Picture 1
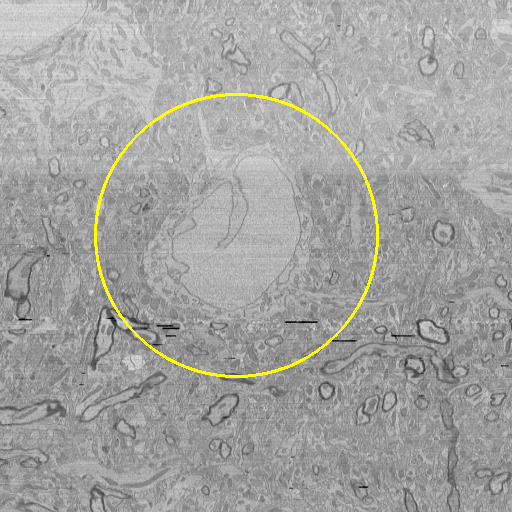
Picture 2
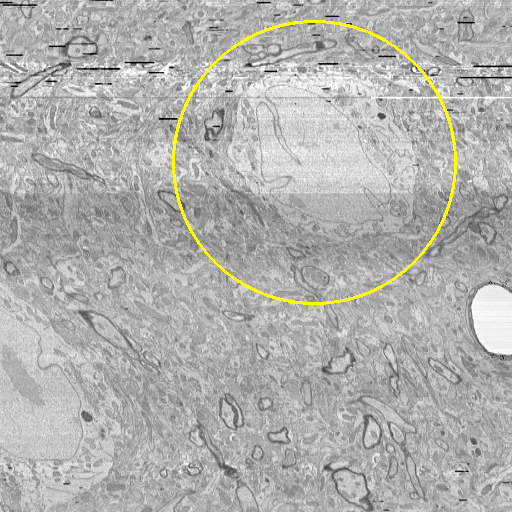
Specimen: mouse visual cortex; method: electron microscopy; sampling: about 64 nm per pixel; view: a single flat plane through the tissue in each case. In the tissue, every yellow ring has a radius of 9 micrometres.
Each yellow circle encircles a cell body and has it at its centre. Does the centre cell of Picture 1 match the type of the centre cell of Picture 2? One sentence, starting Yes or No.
Yes, the cell centred in Picture 1 and the one in Picture 2 share a type.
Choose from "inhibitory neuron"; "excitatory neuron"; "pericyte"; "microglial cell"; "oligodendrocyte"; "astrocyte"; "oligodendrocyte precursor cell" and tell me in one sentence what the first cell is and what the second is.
In both pictures the ring is centred on an excitatory neuron.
